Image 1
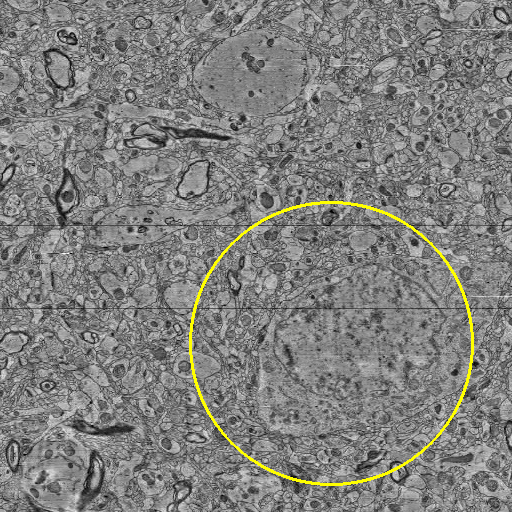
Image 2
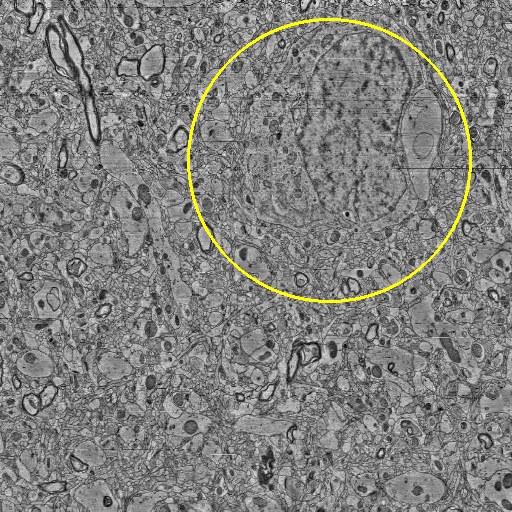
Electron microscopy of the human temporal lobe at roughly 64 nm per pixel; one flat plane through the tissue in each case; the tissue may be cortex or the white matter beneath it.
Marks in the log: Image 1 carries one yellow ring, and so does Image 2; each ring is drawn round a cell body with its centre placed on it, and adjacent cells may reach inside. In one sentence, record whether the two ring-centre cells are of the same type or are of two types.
The two cells at the ring centres, one in each image, are of the same type.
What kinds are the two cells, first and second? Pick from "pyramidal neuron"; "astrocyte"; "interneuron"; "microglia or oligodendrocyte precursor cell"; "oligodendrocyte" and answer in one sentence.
Each of the two rings surrounds an interneuron.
